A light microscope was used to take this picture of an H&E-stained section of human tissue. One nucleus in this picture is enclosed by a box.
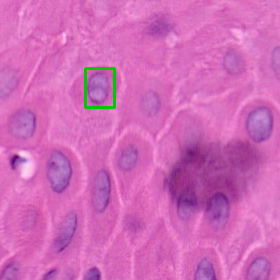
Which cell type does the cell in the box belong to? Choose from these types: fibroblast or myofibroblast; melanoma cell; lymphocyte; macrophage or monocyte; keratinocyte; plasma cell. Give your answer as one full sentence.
In short, the cell in the box on this section is a keratinocyte.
